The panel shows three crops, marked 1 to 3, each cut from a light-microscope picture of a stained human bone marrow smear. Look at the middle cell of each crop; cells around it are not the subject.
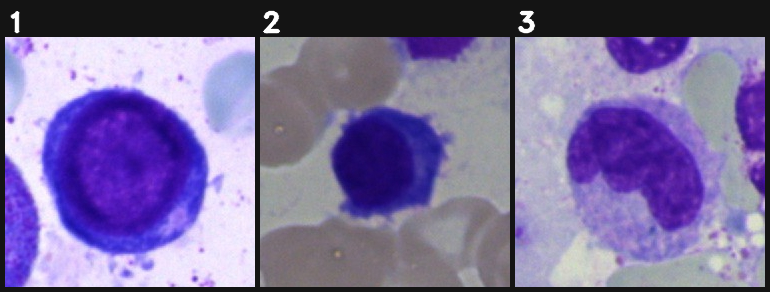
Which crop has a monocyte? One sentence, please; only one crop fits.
The crop with a monocyte in it is crop 3.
